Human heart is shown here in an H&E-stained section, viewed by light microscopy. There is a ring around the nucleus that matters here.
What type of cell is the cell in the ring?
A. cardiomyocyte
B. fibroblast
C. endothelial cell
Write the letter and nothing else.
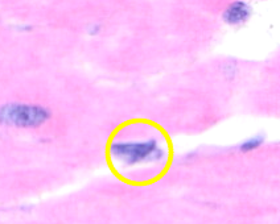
B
